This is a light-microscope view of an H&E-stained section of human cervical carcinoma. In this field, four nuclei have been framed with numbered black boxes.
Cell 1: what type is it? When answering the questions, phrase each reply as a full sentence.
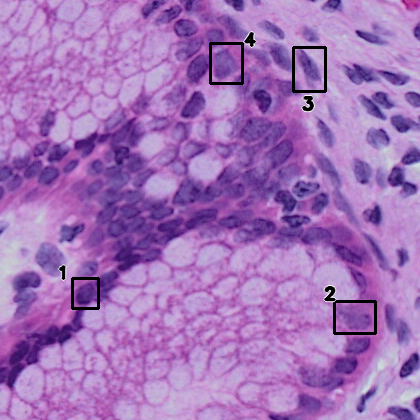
Classified as a secretory epithelial cell is the cell with the number 1.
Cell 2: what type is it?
Numbered cell 2 is a secretory epithelial cell in this tissue section.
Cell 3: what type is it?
Looking at the numbered marks, cell 3 is a fibroblast.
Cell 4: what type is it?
The cell that carries the label 4 is a secretory epithelial cell.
